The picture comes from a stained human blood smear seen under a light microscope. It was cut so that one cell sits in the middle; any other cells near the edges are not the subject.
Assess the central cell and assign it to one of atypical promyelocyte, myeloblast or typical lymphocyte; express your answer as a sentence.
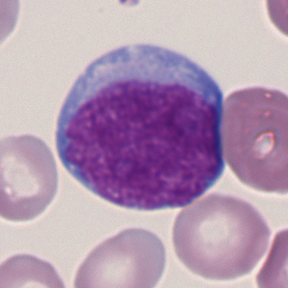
This particular crop is centered on a myeloblast.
